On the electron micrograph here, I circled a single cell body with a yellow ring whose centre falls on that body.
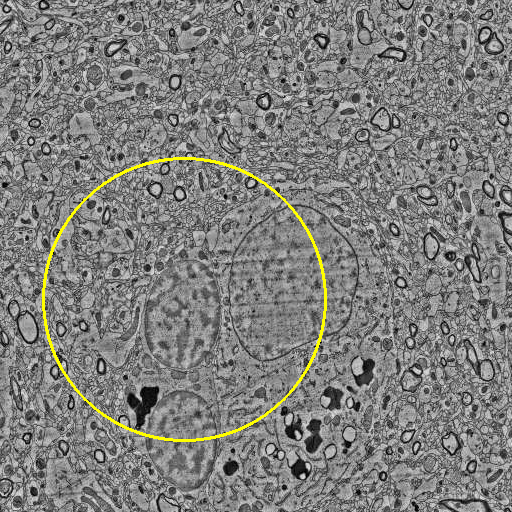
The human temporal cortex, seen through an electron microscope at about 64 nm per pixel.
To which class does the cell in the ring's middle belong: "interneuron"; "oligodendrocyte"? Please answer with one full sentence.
In this picture, the cell body circled at the ring's centre belongs to an oligodendrocyte.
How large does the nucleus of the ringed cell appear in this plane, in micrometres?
The nucleus of the ringed cell is approximately 8 by 5 micrometres in this plane.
